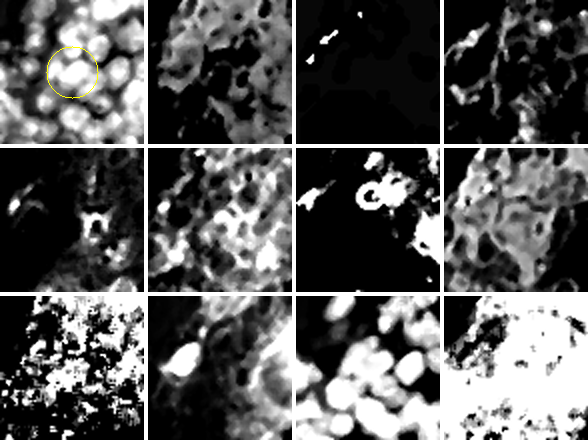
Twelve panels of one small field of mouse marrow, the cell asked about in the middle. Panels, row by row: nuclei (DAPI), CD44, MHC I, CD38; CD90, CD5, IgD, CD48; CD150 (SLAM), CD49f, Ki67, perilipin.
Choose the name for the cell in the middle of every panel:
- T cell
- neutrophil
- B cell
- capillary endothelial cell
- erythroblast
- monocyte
capillary endothelial cell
